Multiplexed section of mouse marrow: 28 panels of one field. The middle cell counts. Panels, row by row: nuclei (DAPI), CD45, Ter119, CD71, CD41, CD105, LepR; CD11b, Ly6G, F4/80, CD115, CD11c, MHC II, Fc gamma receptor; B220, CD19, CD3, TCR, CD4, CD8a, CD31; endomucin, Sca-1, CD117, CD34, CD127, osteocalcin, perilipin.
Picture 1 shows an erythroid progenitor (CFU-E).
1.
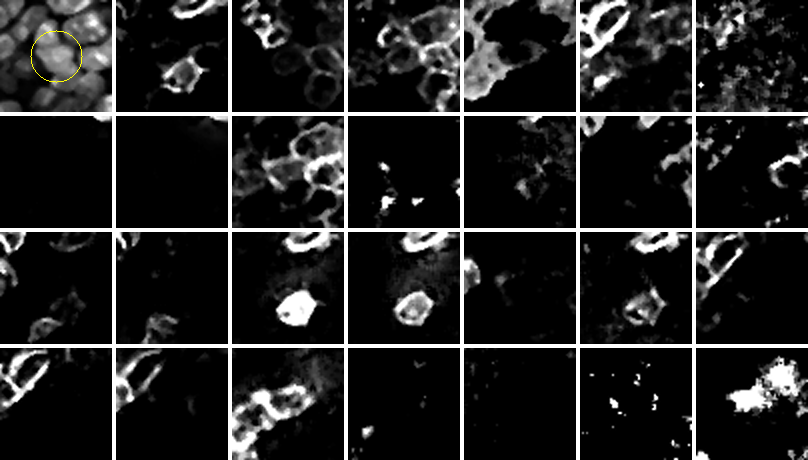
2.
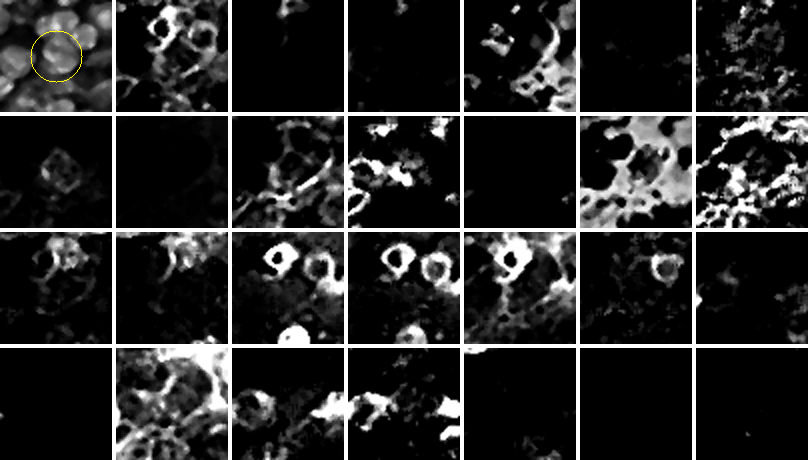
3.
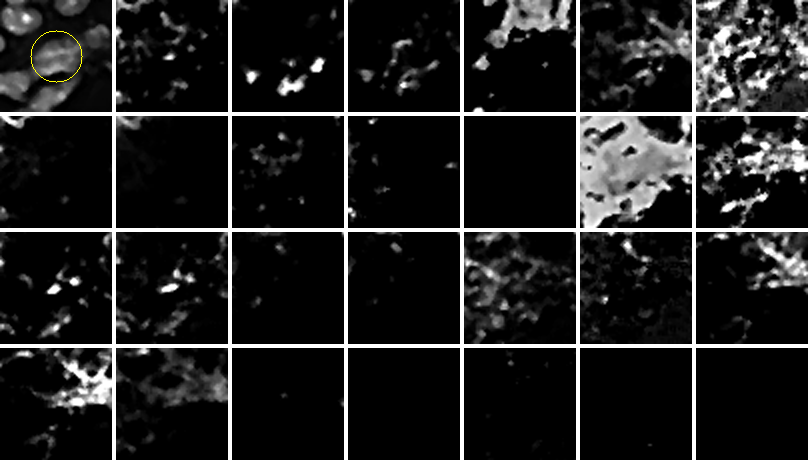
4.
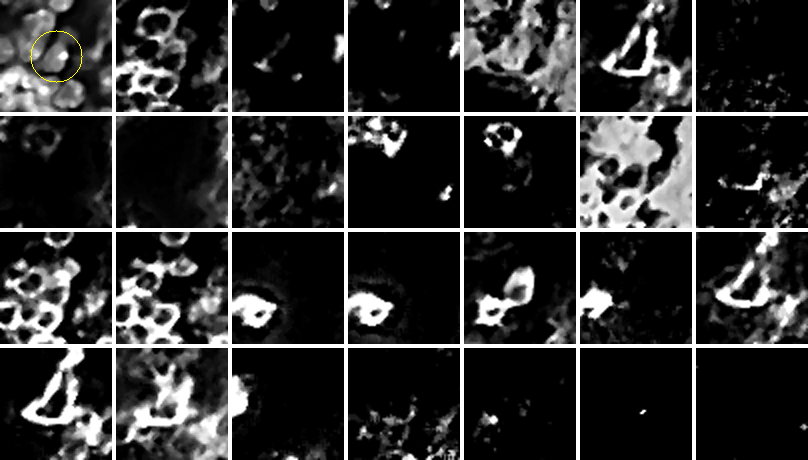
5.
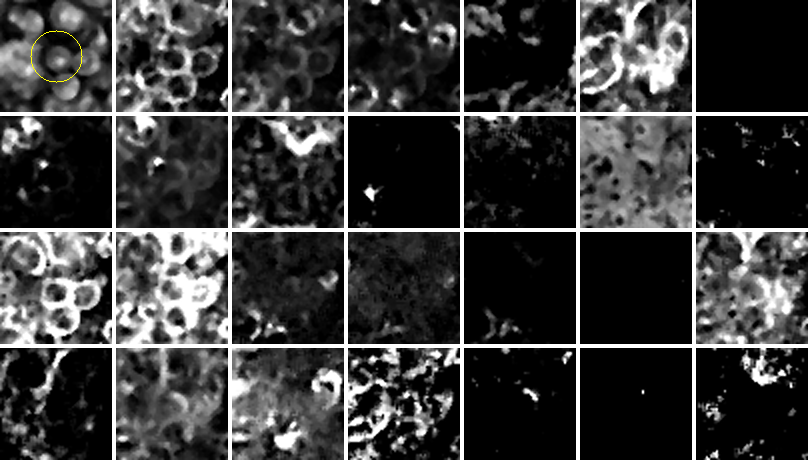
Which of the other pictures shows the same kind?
Picture 5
